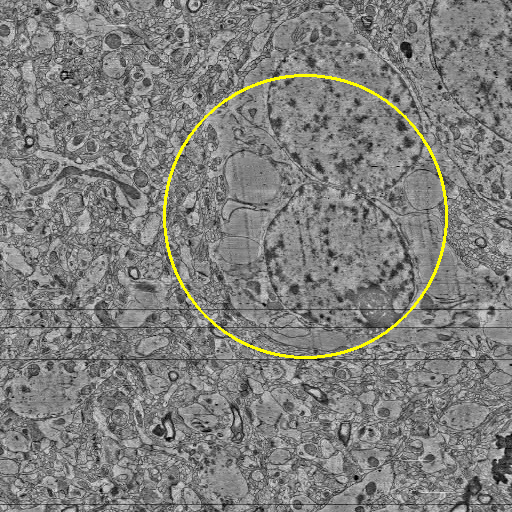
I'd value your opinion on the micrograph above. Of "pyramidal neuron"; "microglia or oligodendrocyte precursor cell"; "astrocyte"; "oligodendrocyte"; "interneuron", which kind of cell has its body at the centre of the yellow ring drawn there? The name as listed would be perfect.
astrocyte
